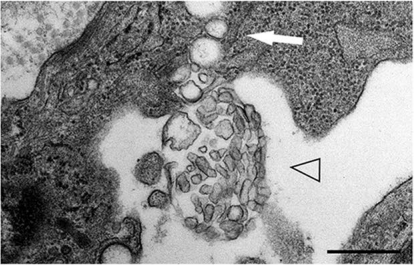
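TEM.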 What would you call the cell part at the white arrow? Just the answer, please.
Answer: internal vesicles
